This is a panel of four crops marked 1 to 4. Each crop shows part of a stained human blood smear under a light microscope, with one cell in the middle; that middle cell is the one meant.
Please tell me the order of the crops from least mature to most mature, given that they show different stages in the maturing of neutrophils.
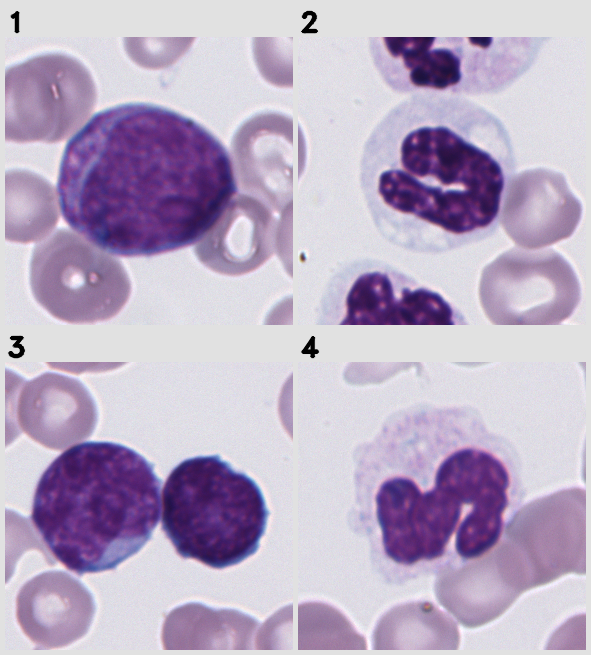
3, 1, 2, 4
